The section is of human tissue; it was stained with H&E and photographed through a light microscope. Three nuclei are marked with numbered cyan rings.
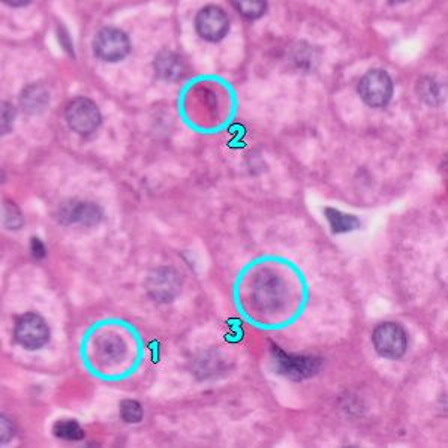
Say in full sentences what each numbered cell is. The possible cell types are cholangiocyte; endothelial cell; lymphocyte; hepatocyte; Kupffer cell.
Cell 1 is a hepatocyte, cell 2 is an endothelial cell and cell 3 is a hepatocyte.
